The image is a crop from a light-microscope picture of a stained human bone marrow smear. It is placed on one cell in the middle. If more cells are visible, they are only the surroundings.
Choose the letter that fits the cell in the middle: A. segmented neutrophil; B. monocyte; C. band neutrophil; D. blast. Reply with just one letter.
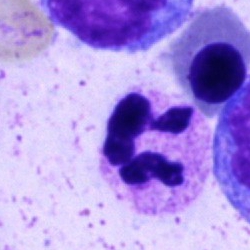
A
